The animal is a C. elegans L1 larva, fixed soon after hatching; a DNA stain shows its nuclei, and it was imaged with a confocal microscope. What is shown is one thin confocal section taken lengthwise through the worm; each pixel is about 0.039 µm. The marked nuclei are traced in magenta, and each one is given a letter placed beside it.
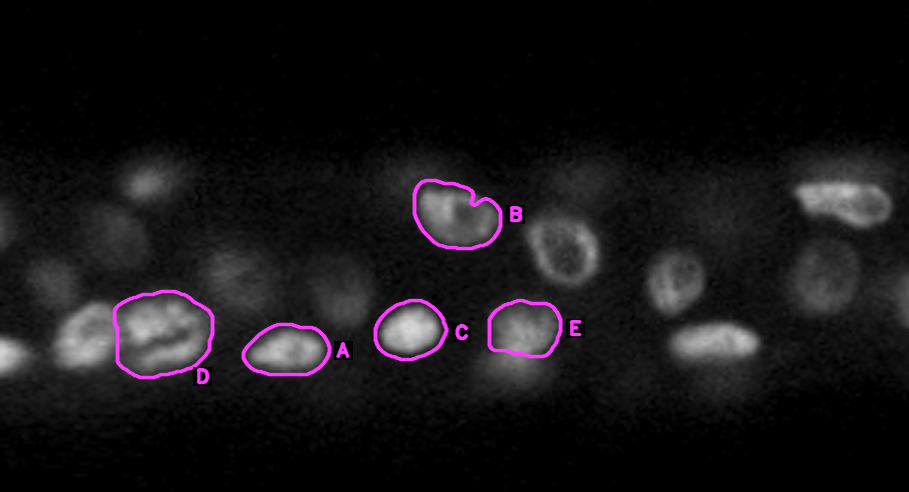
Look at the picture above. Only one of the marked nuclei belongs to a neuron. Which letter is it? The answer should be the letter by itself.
C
